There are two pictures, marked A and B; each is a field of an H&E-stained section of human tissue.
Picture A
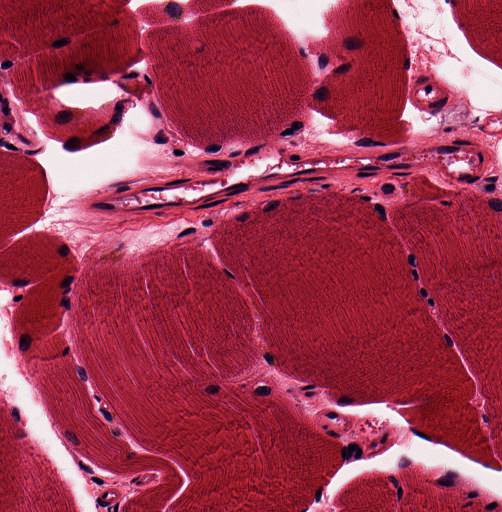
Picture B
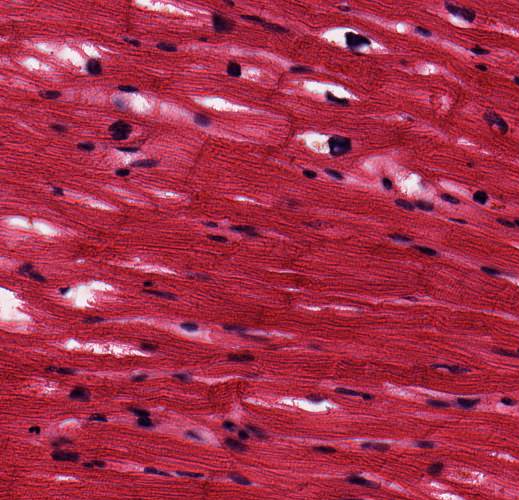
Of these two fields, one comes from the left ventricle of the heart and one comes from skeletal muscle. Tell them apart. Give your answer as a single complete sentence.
Picture A comes from skeletal muscle; picture B comes from the left ventricle of the heart.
